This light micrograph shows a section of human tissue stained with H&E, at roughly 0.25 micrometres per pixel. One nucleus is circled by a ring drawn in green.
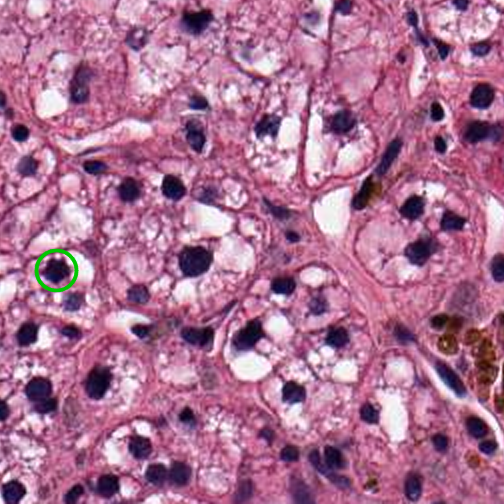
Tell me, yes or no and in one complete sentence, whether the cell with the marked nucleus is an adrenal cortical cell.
Yes, the marked nucleus is located in an adrenal cortical cell.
